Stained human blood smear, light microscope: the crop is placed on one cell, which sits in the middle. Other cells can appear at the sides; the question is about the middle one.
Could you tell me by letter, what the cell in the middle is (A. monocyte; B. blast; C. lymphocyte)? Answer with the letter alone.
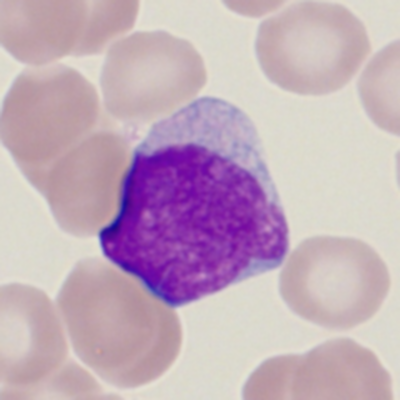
B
